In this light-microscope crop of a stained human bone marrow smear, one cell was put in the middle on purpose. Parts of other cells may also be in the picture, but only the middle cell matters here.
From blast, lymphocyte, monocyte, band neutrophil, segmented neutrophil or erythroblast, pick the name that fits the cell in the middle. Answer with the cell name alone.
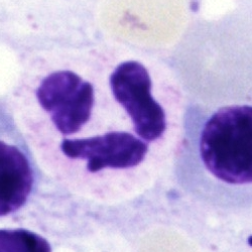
segmented neutrophil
